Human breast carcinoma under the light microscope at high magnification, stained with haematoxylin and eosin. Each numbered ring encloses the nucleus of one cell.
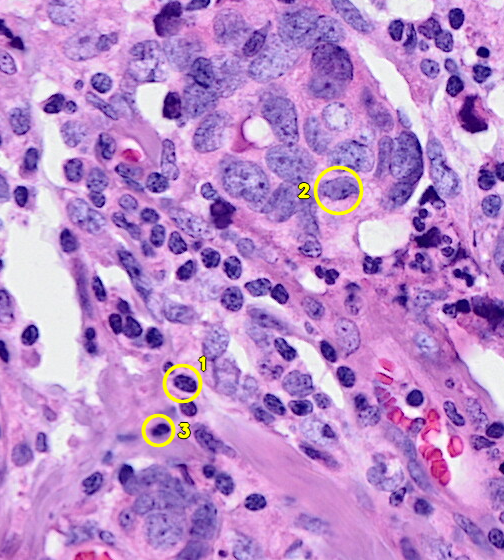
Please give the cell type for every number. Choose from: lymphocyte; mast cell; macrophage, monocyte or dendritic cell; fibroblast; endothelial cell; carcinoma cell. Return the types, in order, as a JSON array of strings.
["lymphocyte", "carcinoma cell", "lymphocyte"]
